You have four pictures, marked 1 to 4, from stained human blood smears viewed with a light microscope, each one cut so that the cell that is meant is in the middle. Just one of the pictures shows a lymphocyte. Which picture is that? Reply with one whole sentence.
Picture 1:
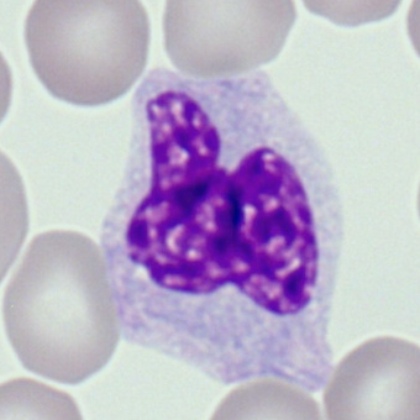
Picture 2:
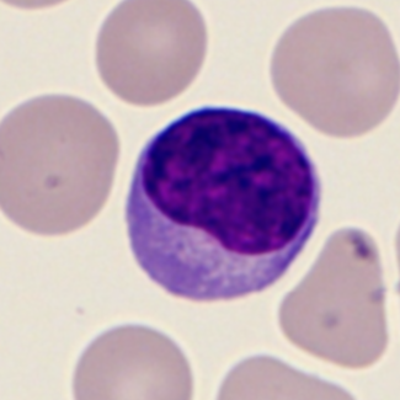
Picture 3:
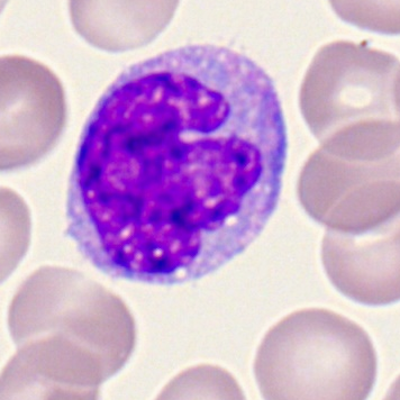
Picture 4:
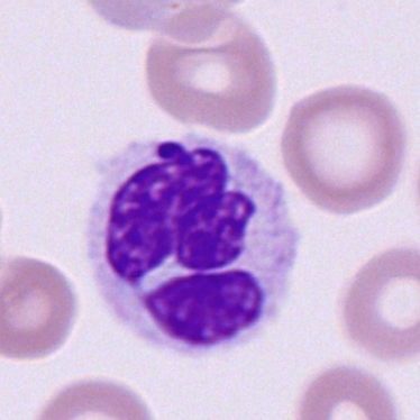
The picture with the lymphocyte is 2.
